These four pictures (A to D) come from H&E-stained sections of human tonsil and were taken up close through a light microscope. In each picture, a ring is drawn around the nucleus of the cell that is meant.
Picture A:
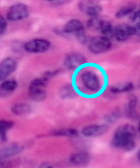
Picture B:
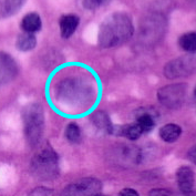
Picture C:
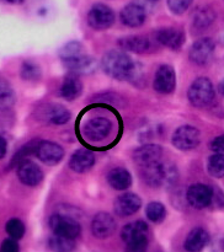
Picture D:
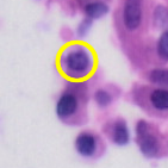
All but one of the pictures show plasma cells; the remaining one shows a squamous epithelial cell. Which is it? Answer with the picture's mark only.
B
